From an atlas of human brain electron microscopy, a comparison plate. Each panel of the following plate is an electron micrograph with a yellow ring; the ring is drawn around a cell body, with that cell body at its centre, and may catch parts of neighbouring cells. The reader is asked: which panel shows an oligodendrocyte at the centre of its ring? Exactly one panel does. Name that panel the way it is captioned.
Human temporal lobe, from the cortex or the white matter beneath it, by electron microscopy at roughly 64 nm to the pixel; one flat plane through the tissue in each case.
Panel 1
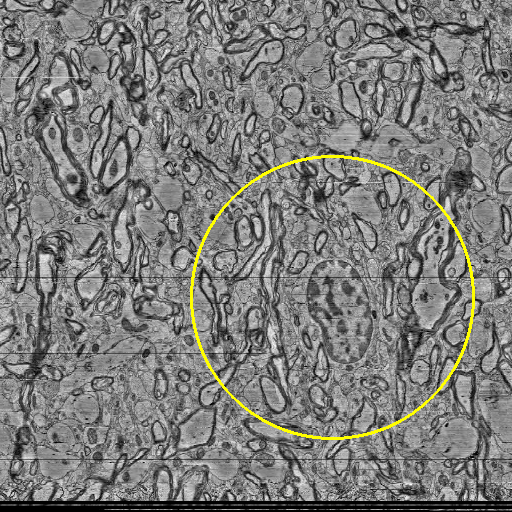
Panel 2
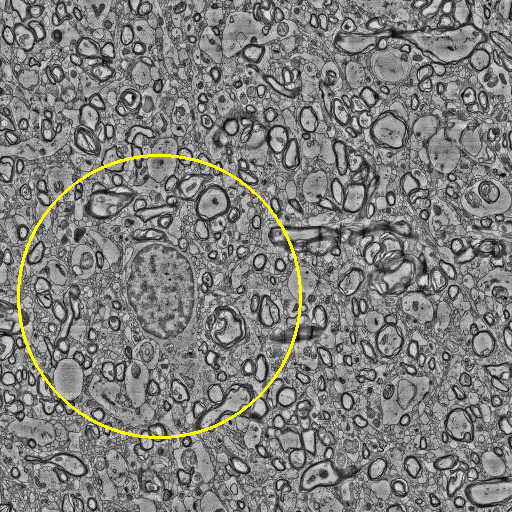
Panel 2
